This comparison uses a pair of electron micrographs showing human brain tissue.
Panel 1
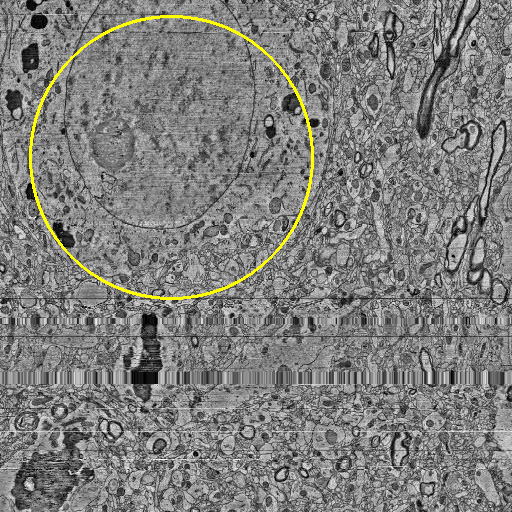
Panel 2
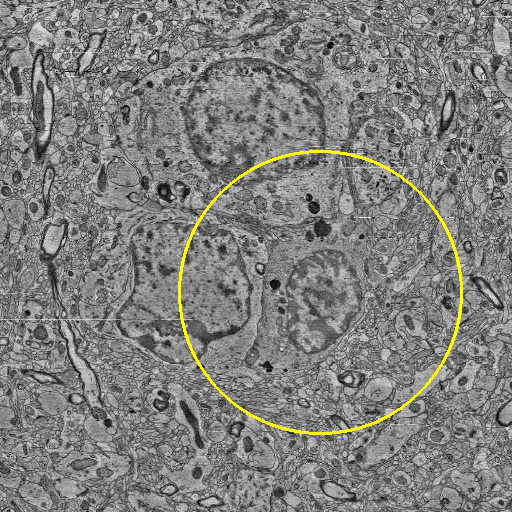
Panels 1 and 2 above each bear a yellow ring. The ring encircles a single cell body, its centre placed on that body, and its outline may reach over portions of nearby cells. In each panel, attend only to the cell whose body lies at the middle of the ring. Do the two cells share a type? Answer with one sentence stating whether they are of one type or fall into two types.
In Panel 1 and Panel 2, the cells at the centres of the rings fall into two types.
